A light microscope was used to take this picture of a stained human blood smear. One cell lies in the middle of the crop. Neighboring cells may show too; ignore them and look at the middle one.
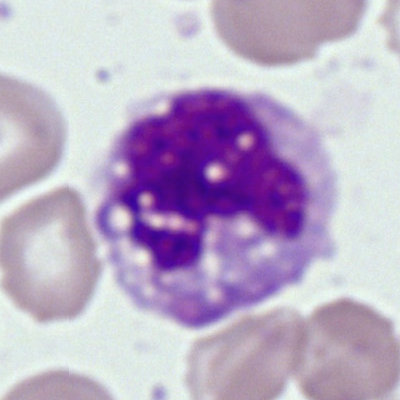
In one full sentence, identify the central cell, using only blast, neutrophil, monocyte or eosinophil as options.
The middle cell in this particular crop is a monocyte.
